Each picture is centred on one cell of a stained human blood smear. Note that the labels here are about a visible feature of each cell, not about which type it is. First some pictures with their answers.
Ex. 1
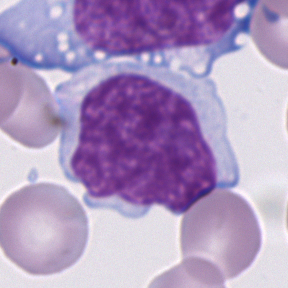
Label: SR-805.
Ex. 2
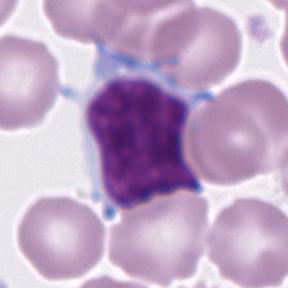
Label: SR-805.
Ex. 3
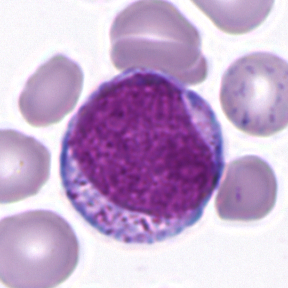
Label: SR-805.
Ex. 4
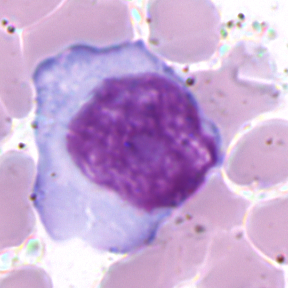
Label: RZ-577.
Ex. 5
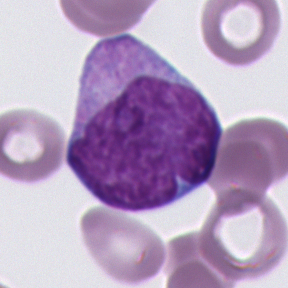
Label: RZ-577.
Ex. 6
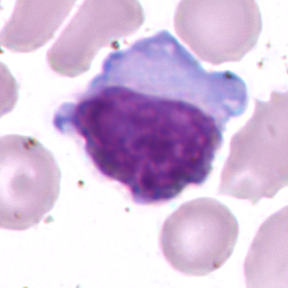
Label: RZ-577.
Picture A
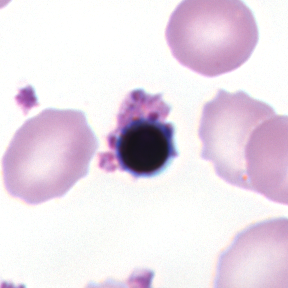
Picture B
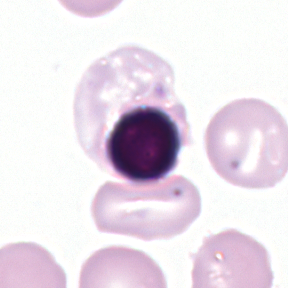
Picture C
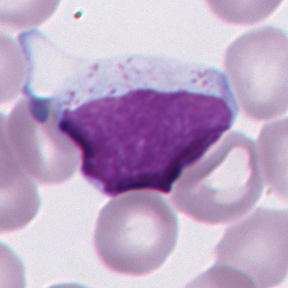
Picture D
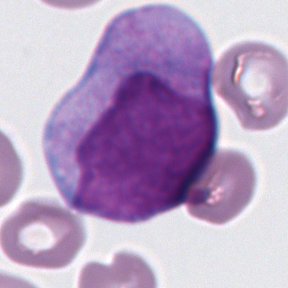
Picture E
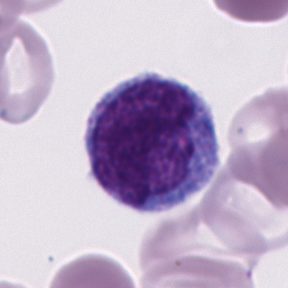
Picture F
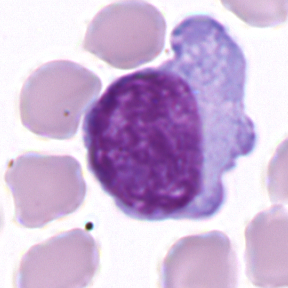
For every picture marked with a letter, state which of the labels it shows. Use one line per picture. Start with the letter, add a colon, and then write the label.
A: SR-805.
B: RZ-577.
C: RZ-577.
D: RZ-577.
E: SR-805.
F: RZ-577.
